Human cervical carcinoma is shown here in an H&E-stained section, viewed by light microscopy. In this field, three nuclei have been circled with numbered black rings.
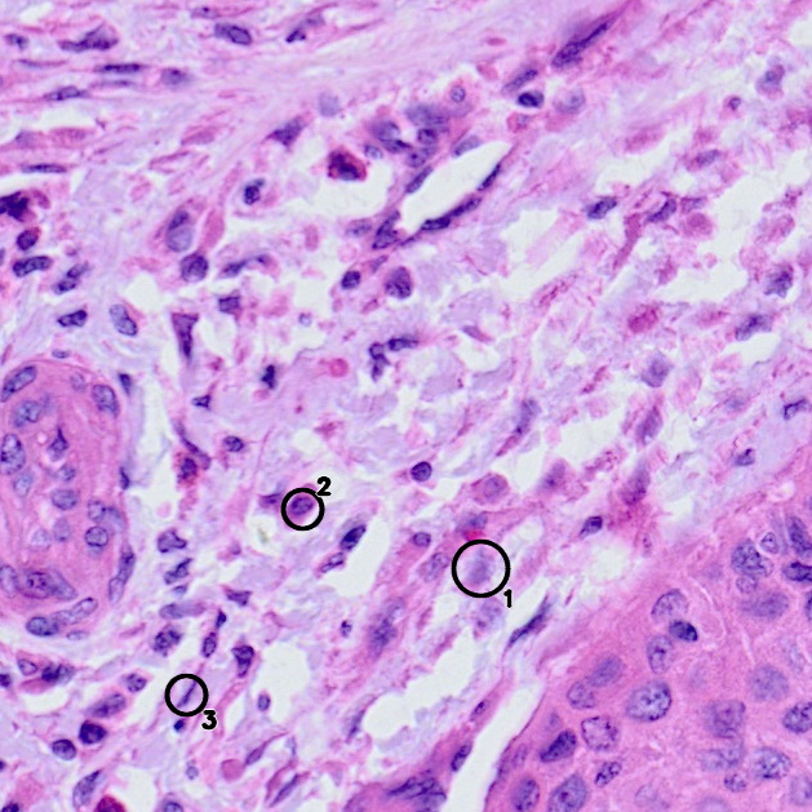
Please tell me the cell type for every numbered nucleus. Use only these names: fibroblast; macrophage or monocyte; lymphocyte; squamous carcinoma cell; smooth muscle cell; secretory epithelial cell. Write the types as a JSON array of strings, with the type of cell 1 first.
["fibroblast", "macrophage or monocyte", "fibroblast"]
